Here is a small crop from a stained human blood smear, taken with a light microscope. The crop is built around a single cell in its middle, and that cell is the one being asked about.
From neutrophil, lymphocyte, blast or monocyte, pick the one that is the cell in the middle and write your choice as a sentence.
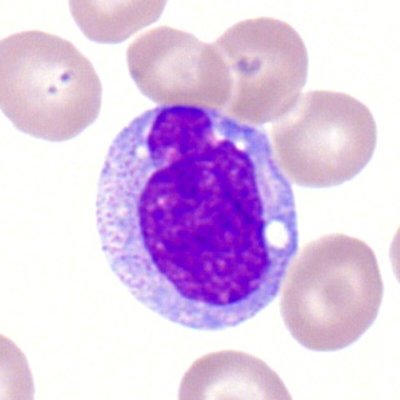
In the central position of this crop, the cell is a monocyte.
